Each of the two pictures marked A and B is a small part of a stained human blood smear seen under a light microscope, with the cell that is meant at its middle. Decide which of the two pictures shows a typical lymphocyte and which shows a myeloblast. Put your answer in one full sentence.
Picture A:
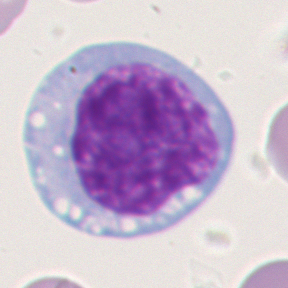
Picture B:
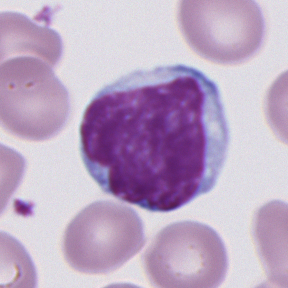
Picture A is of a myeloblast, and picture B is of a typical lymphocyte.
